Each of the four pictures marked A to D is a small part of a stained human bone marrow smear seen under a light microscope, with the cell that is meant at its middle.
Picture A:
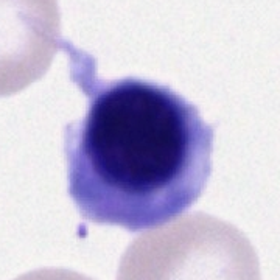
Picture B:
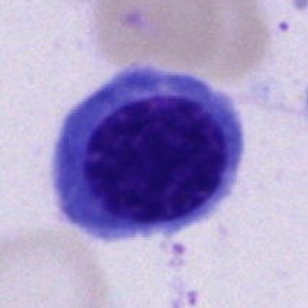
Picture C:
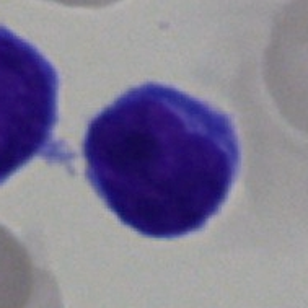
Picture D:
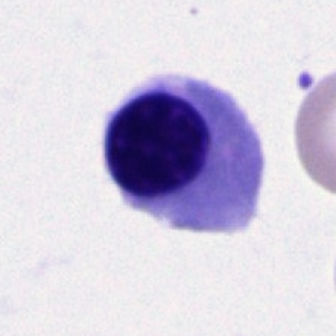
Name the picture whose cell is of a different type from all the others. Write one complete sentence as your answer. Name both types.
The others show erythroblasts, but picture C shows a lymphocyte.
